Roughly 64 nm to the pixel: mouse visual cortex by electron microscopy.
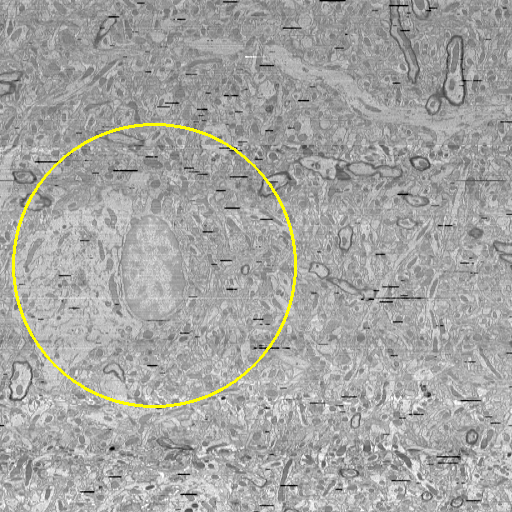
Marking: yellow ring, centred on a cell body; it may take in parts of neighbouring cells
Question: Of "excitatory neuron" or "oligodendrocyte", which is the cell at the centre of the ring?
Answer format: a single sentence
The ring surrounds the body of an oligodendrocyte.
